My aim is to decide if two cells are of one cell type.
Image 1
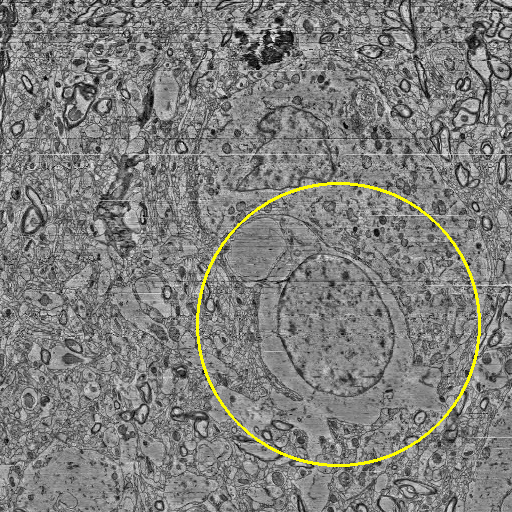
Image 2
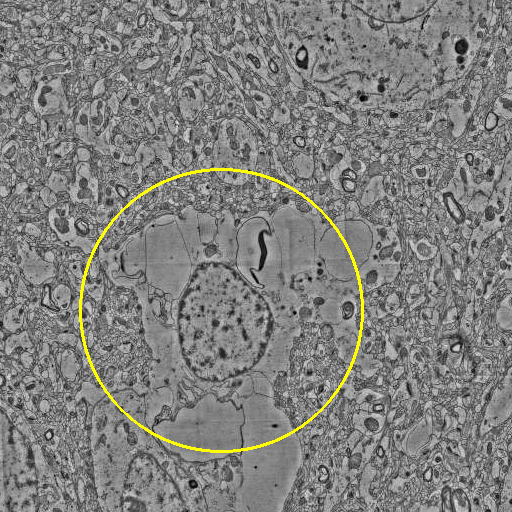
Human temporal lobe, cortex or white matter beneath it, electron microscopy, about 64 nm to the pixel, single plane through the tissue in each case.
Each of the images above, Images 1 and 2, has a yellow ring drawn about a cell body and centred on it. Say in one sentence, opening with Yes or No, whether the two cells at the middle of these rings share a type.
Yes, in Images 1 and 2 the cells at the middle of the rings share one type.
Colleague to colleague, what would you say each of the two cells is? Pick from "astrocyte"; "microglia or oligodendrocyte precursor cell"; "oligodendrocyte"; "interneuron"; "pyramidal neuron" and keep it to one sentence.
The cell in the first picture is an astrocyte, and so is the one in the second.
